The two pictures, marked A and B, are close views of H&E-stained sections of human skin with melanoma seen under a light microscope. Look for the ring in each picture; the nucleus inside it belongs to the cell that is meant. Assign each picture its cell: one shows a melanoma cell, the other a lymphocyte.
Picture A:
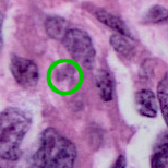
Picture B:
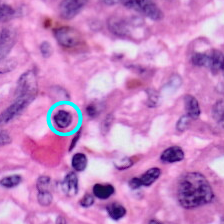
A: melanoma cell
B: lymphocyte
